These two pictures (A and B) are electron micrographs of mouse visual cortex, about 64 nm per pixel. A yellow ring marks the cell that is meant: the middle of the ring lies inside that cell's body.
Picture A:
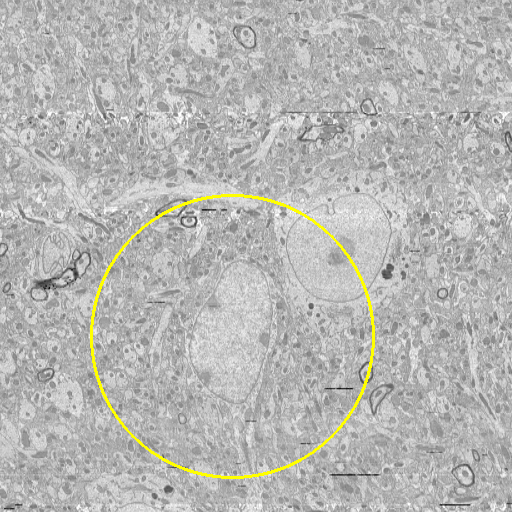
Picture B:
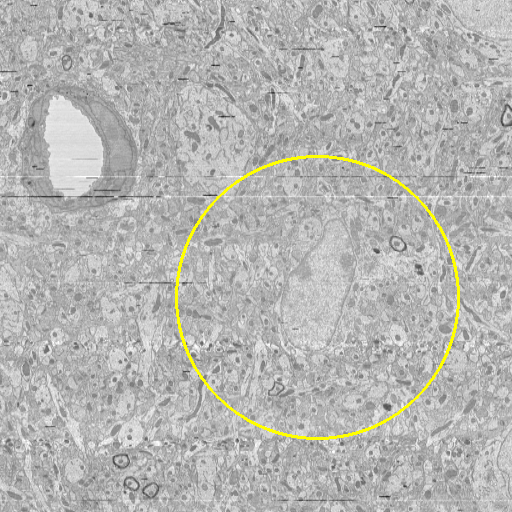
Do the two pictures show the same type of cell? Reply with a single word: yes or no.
yes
